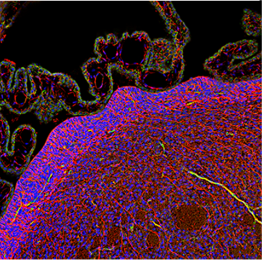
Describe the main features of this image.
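Here the wall of a brain ventricle is seen with the choroid plexus floating above it in the ventricle. The lower part is the densely packed ventricular zone, its many small nuclei appearing blue, crossed by a fine red network. Yellow-green threads wind through it, the profiles of small blood vessels. Above the smooth, curved surface of the tissue lie the folded fronds of the choroid plexus, each fold a thin epithelial sheet whose borders are outlined in green and red, with blue nuclei spaced along them, and empty ventricular space between the folds.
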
